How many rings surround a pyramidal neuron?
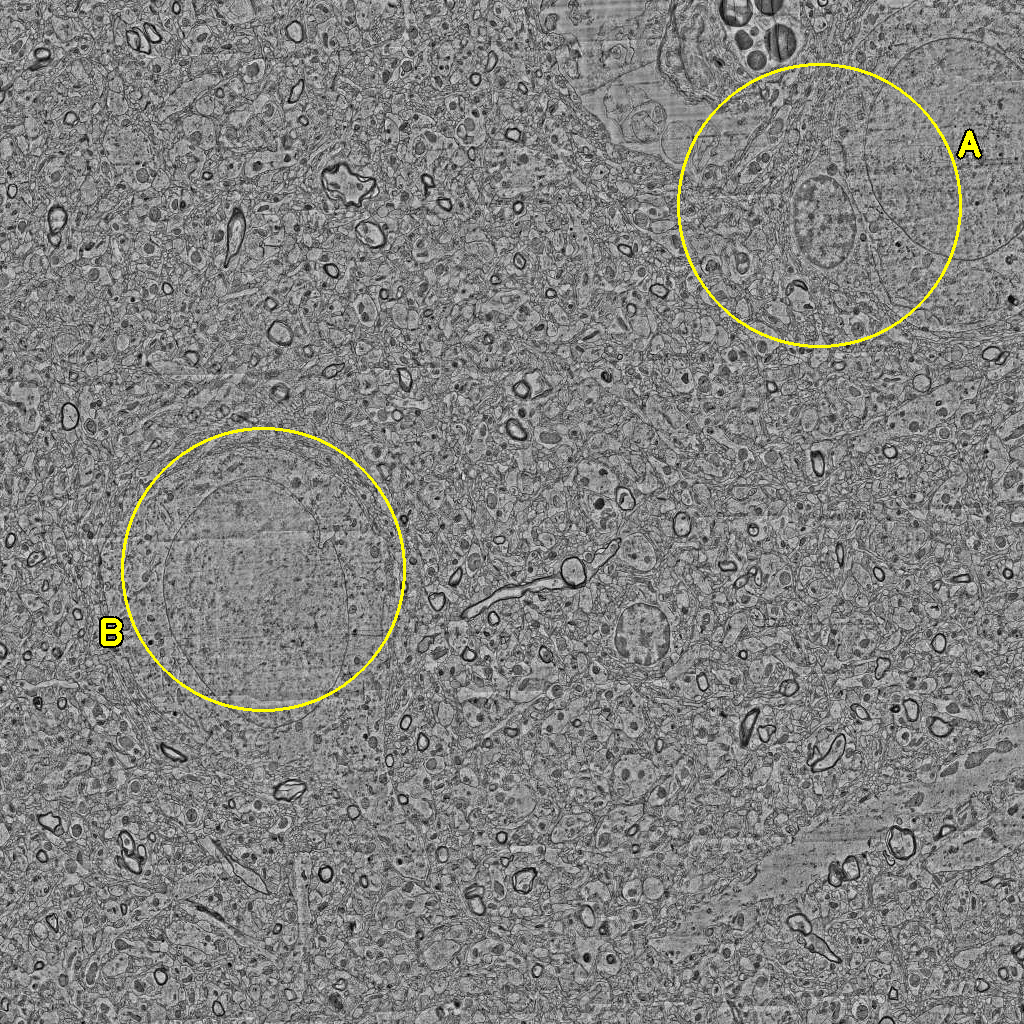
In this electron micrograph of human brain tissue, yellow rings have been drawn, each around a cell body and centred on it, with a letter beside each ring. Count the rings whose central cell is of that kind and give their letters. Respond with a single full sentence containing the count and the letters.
Ring B is the single ring in the micrograph centred on a pyramidal neuron.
